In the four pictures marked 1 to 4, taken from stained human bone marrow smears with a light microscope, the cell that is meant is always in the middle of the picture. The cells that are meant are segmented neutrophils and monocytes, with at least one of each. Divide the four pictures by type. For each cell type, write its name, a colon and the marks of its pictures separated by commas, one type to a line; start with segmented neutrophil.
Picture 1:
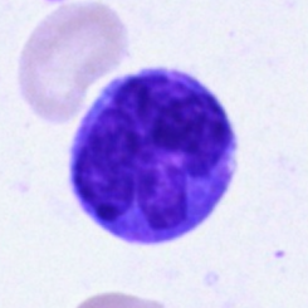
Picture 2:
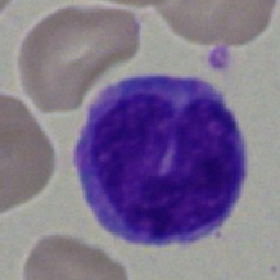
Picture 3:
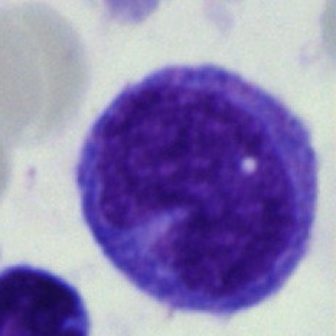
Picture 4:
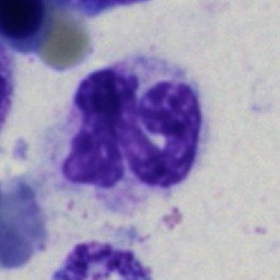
segmented neutrophil: 4
monocyte: 1, 2, 3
